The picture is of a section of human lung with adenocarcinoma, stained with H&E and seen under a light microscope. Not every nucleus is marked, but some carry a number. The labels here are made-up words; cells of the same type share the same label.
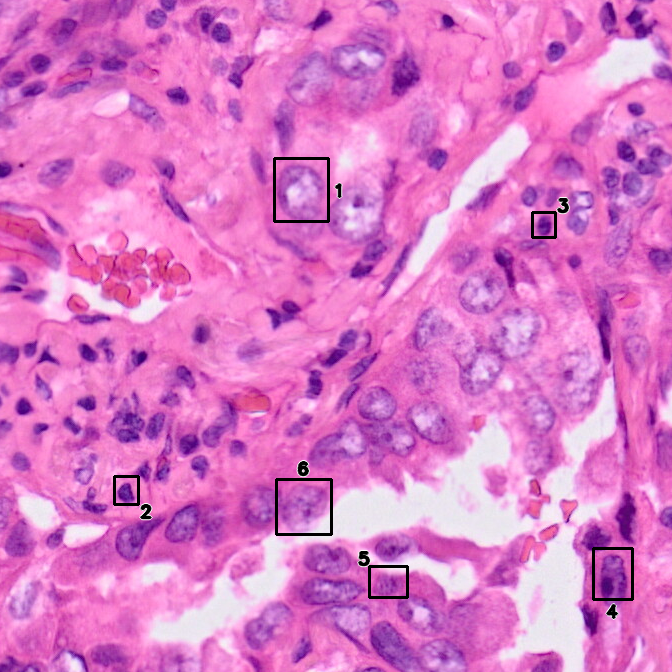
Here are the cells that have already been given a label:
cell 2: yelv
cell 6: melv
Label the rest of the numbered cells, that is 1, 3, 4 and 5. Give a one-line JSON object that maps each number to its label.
{"1": "melv", "3": "yelv", "4": "melv", "5": "melv"}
